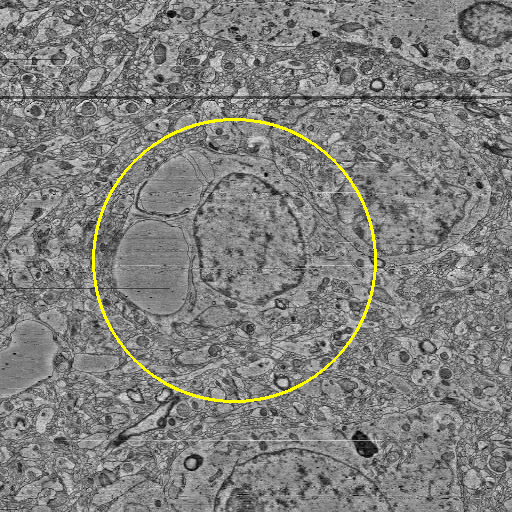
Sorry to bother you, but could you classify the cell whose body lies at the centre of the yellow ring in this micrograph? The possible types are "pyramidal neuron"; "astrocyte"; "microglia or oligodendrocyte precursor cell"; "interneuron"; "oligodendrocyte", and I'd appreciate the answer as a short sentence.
The ringed cell body is that of an astrocyte.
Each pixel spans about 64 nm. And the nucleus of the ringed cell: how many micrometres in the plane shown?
The nucleus comes to roughly 9 by 7 micrometres in this plane.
